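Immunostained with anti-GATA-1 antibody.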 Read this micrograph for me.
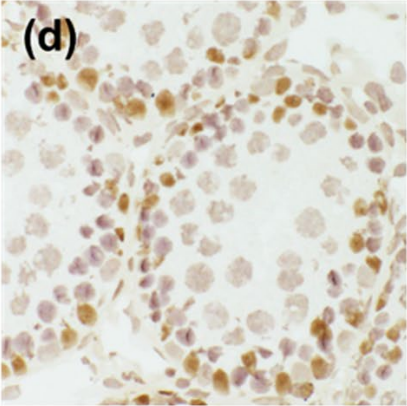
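The middle of the tubule holds large round nuclei with a pale, finely speckled, purplish look and no brown. Thin stretched cells line the outside of the tubule where it meets its neighbours.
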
